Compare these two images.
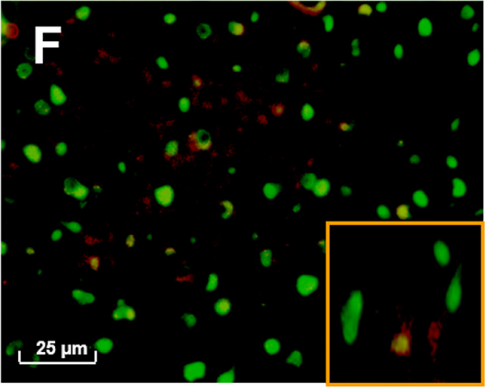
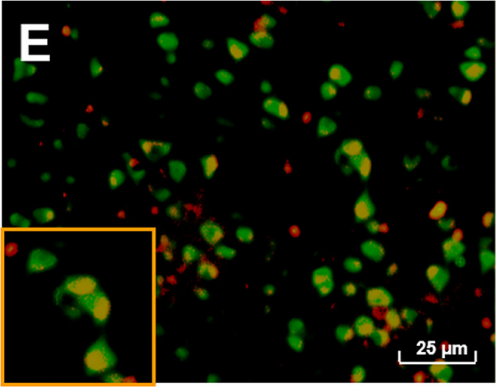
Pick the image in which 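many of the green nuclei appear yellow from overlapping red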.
The second image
